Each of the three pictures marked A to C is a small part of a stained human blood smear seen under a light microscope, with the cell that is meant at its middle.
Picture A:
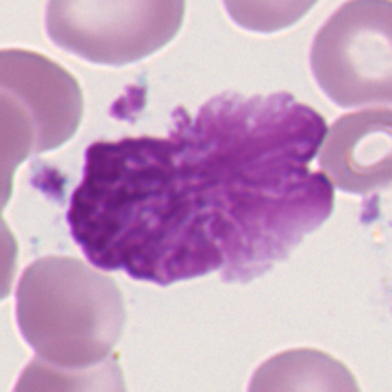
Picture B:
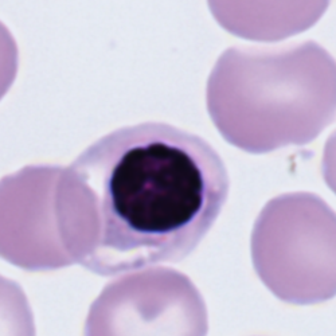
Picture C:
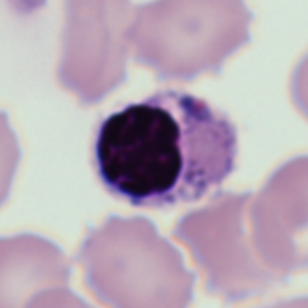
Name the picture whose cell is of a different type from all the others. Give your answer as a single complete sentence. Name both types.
Picture A is the odd one out: it shows a smudge cell, while the others show normoblasts.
